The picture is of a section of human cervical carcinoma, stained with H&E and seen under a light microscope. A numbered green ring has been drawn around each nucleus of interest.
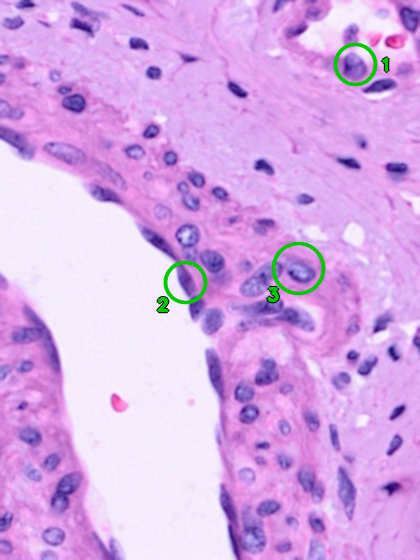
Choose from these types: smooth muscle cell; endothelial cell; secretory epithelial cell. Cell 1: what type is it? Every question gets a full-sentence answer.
The one labeled 1 is an endothelial cell, to put it simply.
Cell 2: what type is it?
Corresponding to an endothelial cell is the cell labelled 2.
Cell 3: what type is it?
The cell given label 3 is a smooth muscle cell.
